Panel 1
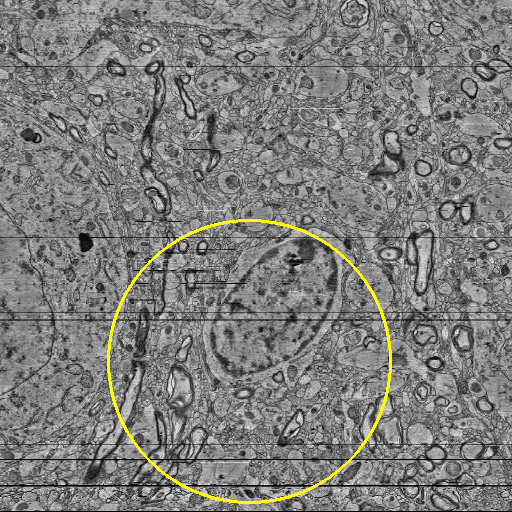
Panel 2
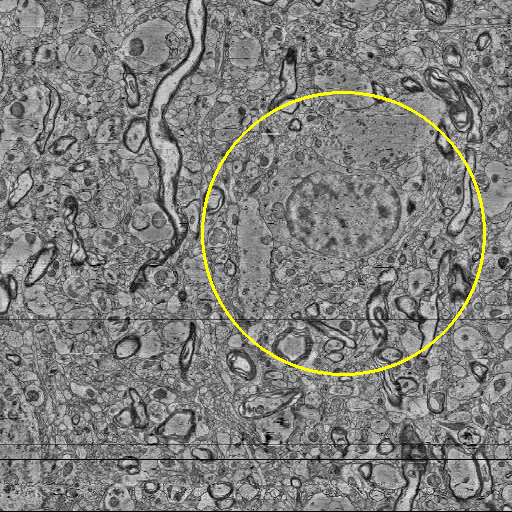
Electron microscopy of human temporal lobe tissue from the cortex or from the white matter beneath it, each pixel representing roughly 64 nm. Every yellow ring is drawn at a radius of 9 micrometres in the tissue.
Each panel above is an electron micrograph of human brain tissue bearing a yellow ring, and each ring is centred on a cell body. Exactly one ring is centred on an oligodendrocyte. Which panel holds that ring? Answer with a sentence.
That ring is in Panel 2.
